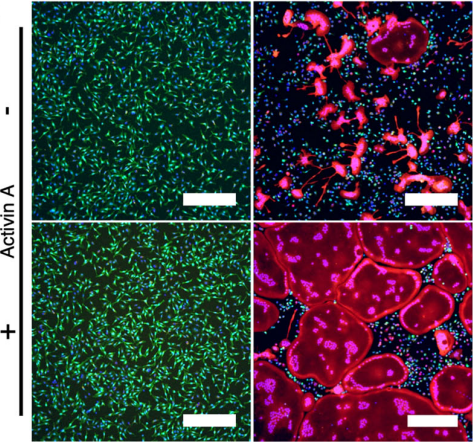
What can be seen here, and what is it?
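In the left-hand fields there is a dense, even lawn of small green cells. They are spindle-shaped or elongated, each with a single blue nucleus. In the upper right field, irregular red cells lie scattered among the green cells. Some of these red cells send out slender processes, and some are larger and rounded with several nuclei. In the lower right field, very large red cells spread into broad flat sheets that cover most of the field. Each sheet has a bright red rim and holds many clustered nuclei. Small green mononuclear cells fill the gaps between the sheets.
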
